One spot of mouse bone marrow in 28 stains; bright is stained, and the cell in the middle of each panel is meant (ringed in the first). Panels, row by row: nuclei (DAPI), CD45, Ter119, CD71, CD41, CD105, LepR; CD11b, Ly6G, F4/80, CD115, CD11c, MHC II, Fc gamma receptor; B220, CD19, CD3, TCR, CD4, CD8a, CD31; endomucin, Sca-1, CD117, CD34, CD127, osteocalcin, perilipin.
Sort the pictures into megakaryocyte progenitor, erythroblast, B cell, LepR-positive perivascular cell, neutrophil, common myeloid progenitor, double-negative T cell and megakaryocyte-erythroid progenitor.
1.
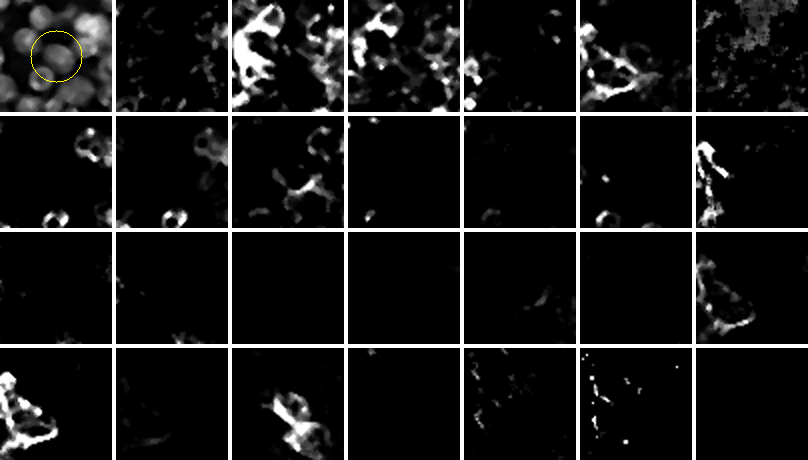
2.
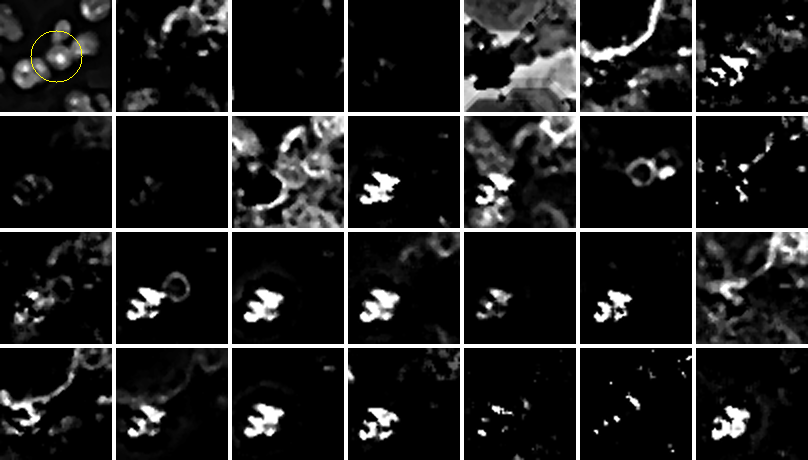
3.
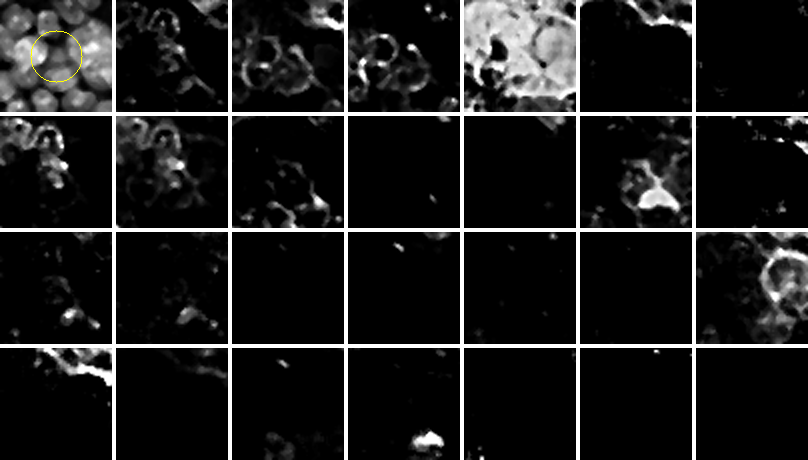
Megakaryocyte-erythroid progenitors: 1
LepR-positive perivascular cells: 2
Neutrophils: 3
